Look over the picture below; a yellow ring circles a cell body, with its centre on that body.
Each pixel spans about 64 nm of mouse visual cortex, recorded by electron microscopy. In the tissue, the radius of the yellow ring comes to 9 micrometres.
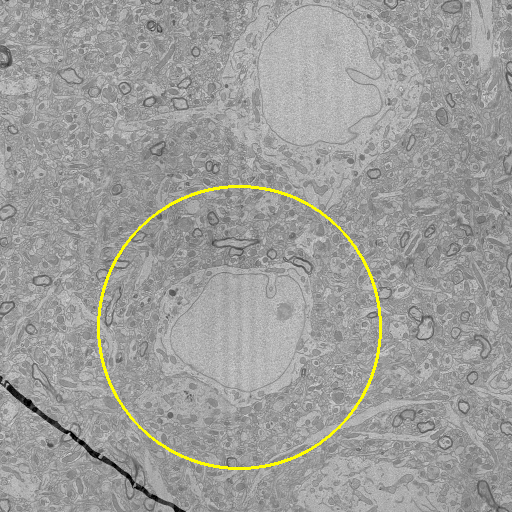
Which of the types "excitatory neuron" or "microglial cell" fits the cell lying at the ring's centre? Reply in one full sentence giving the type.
The picture shows an excitatory neuron at the centre of the yellow ring.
